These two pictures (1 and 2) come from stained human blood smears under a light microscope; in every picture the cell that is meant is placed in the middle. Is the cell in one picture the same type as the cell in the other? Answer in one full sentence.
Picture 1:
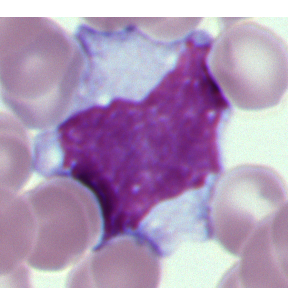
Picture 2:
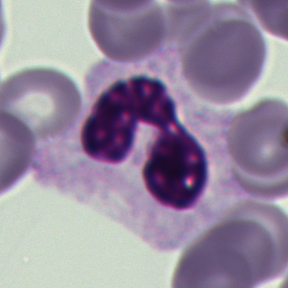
No, they differ: the cell is a monocyte in picture 1 and a segmented neutrophil in picture 2.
